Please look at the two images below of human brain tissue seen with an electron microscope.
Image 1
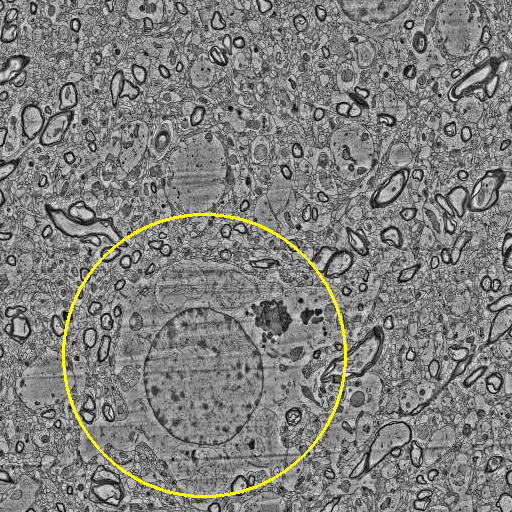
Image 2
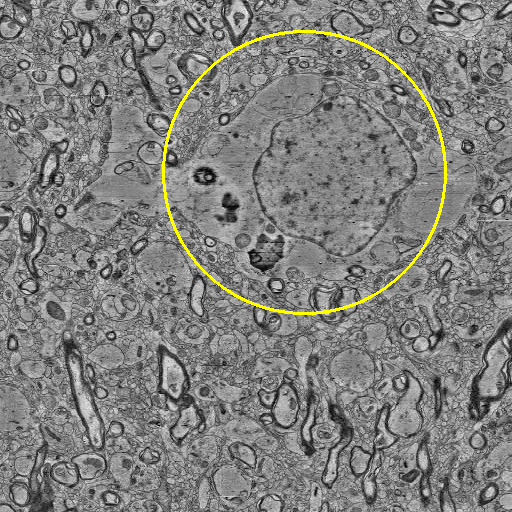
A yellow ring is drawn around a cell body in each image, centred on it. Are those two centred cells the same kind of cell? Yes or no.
yes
